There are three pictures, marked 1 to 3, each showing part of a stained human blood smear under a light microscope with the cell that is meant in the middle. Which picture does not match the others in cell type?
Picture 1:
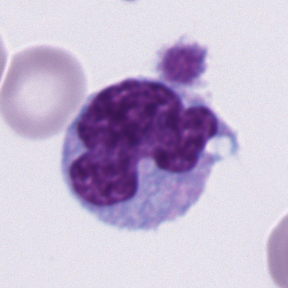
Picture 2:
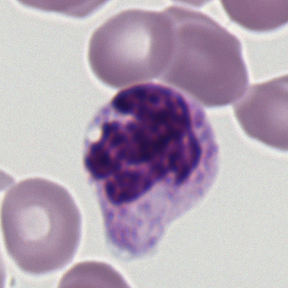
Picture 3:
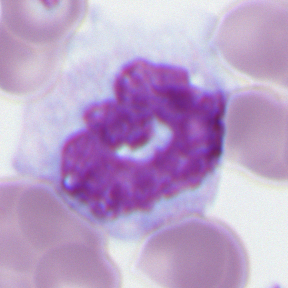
2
